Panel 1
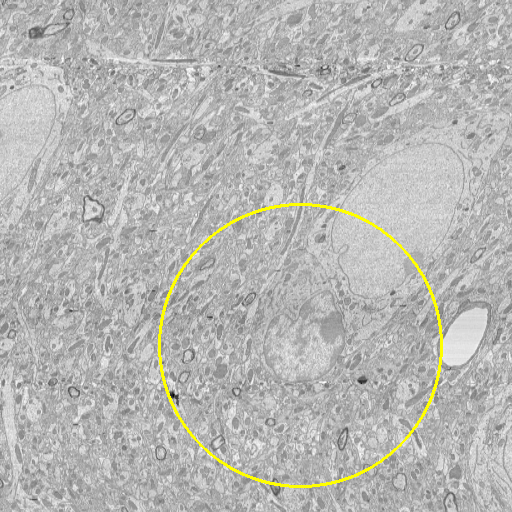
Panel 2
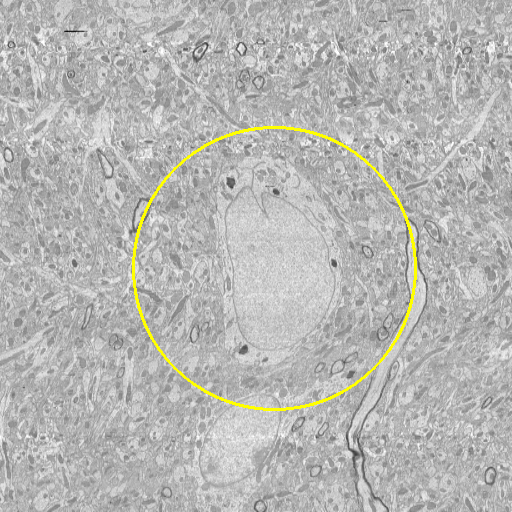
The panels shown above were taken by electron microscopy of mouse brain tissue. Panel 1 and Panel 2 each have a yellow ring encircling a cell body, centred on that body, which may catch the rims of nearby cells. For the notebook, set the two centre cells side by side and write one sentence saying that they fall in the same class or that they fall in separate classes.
The centred cells of Panel 1 and Panel 2 fall in separate classes.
